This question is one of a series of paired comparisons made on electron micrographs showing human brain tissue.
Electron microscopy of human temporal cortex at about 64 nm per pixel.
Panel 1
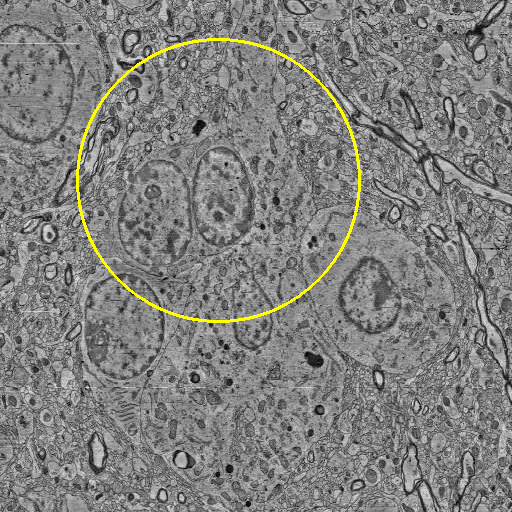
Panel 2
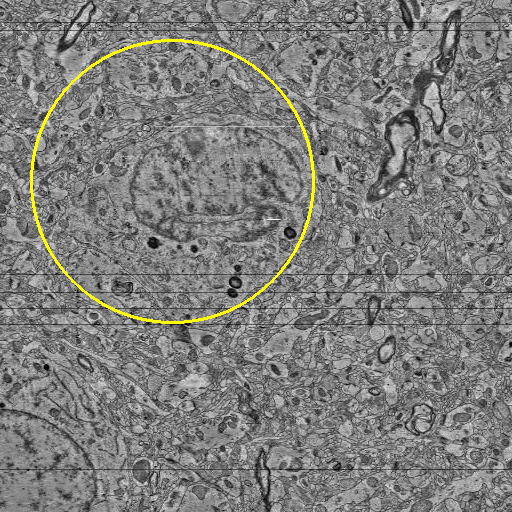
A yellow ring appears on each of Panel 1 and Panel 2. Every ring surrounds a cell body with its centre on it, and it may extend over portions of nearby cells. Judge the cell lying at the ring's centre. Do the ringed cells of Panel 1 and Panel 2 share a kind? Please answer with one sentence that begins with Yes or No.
No, the ring-centre cell in Panel 1 and the one in Panel 2 are of two kinds.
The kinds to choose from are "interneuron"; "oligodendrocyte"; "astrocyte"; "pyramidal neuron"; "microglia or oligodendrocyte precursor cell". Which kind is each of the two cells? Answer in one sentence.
Of the two, the first cell is an oligodendrocyte and the second cell is an interneuron.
